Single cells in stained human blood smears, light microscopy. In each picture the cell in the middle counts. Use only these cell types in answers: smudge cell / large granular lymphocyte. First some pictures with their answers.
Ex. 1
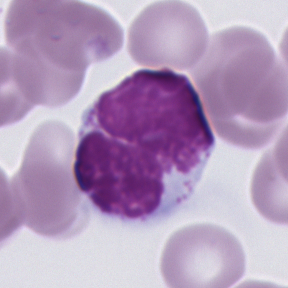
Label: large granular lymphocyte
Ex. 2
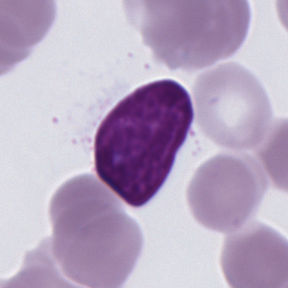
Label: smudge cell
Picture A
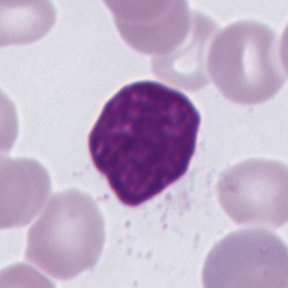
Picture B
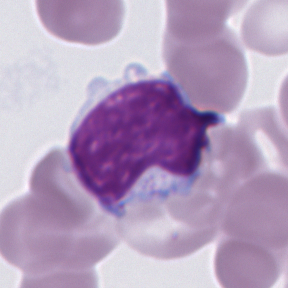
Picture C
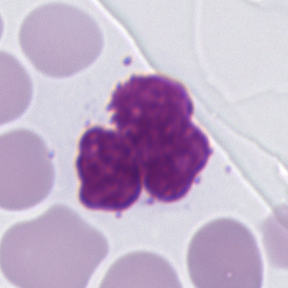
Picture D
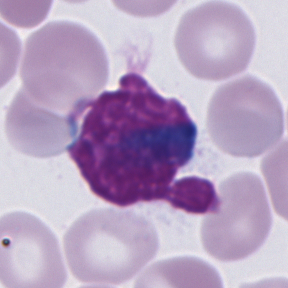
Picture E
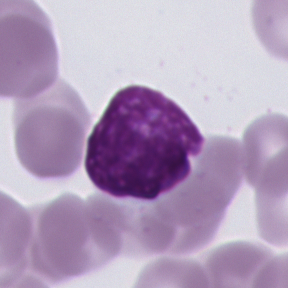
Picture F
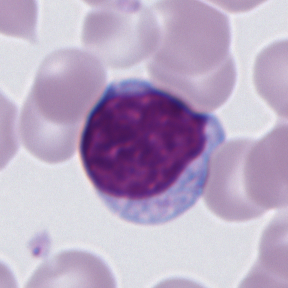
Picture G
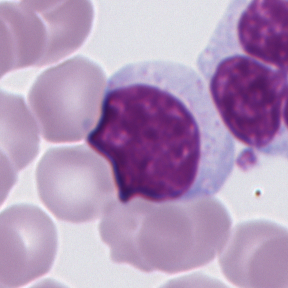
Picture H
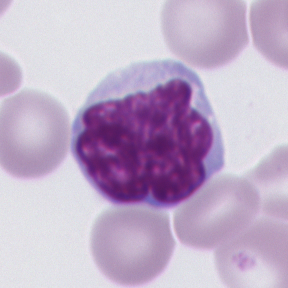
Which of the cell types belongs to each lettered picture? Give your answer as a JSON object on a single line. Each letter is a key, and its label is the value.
{"A": "smudge cell", "B": "large granular lymphocyte", "C": "smudge cell", "D": "smudge cell", "E": "smudge cell", "F": "large granular lymphocyte", "G": "large granular lymphocyte", "H": "large granular lymphocyte"}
